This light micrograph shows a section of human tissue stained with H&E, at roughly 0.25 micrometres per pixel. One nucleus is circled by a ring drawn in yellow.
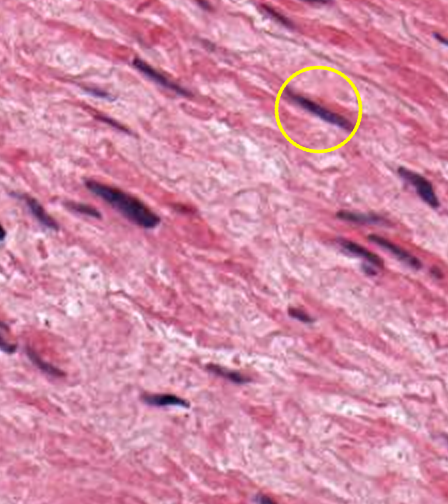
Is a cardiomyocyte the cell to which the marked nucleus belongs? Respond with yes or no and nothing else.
no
